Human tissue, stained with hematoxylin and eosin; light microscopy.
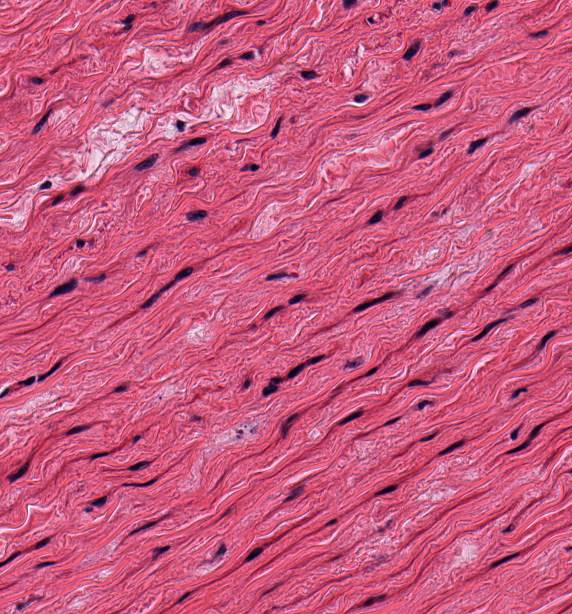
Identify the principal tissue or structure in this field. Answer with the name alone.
tunica media of an artery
